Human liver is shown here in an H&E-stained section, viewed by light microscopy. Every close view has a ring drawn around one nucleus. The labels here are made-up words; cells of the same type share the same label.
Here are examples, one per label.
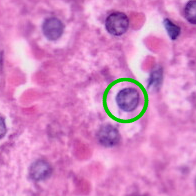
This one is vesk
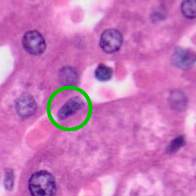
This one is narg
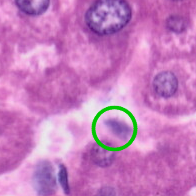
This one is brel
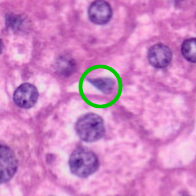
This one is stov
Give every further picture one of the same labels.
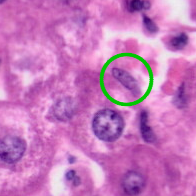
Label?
brel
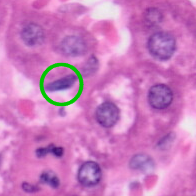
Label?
narg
